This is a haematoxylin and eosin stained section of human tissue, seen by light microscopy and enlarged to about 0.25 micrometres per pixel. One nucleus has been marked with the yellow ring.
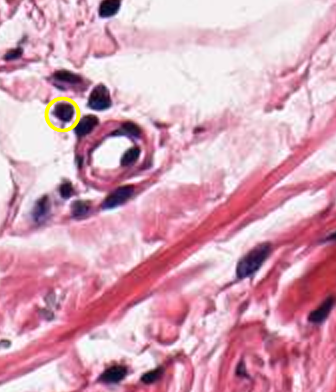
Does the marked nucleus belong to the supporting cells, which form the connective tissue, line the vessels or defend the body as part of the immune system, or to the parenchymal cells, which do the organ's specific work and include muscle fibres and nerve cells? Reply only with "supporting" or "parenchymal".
supporting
